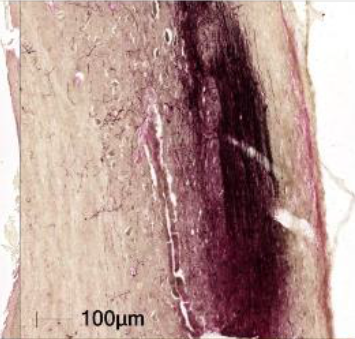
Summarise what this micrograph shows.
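The band is densely packed and nearly solid, so that single fibers are hard to separate within it. A narrow pale cleft runs alongside and partly through the dark band. At the right edge a thin darker pink margin lines the tissue surface.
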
